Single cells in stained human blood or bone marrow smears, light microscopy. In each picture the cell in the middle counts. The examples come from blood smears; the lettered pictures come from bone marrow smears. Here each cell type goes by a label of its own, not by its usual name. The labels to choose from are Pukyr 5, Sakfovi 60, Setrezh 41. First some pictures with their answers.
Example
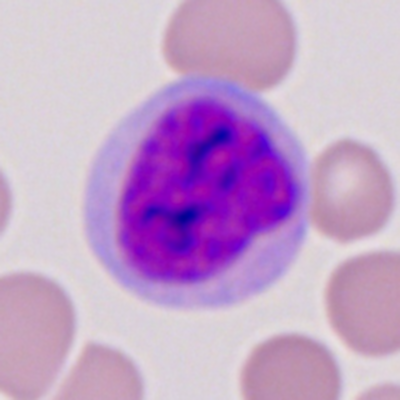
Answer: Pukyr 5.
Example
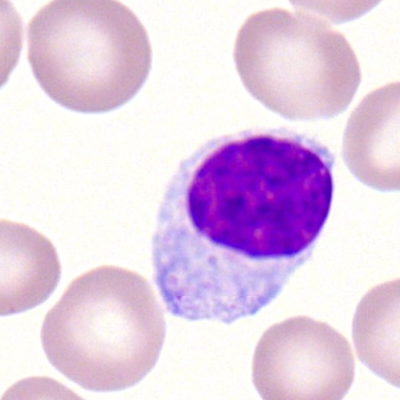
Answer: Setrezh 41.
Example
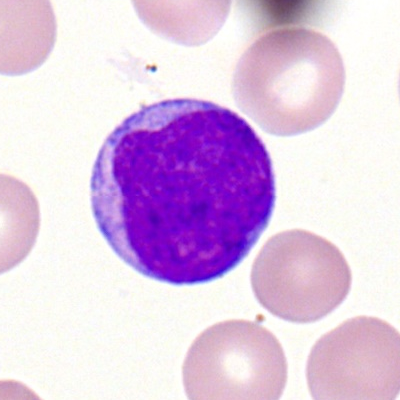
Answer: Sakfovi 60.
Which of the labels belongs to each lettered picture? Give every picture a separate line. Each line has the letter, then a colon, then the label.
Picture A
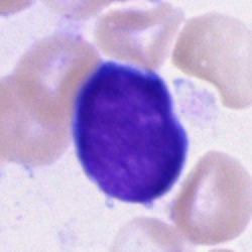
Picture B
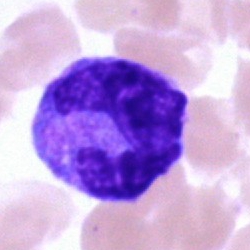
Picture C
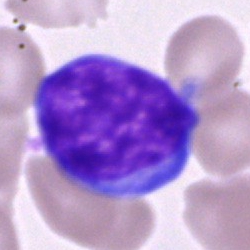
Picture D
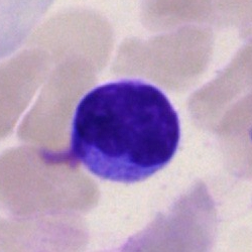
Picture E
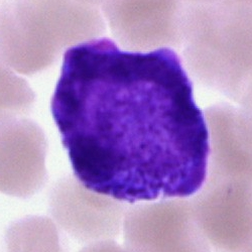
A: Sakfovi 60.
B: Pukyr 5.
C: Sakfovi 60.
D: Setrezh 41.
E: Sakfovi 60.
